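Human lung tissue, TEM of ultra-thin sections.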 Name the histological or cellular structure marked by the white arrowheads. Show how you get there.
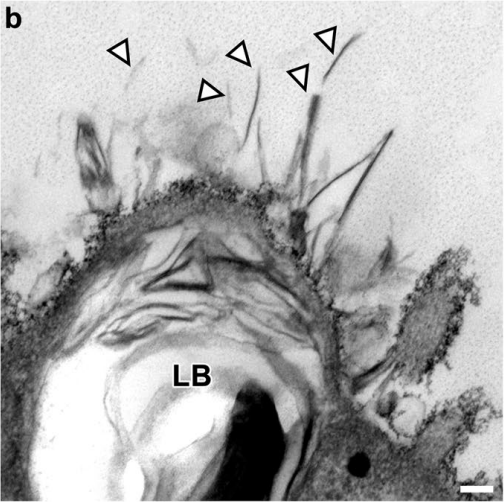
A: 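The white arrowheads point to thin dark membrane fragments and strands outside the cell surface. Beside them within the cell lies a large body filled with stacked membrane lamellae. The answer: exocytosed surfactant components.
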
